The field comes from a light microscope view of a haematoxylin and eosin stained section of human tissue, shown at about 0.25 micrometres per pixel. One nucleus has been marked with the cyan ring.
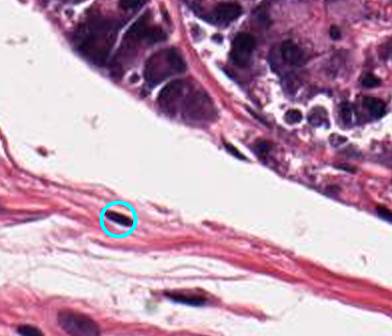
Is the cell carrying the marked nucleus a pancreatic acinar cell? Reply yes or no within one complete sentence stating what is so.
No, it is not a pancreatic acinar cell but a supporting cell to which the marked nucleus is assigned.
